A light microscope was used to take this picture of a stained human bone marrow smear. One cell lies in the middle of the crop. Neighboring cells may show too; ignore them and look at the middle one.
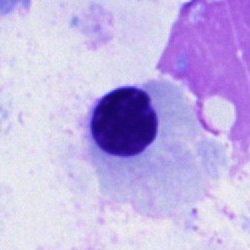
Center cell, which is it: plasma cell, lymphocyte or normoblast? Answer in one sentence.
The cell featured at the centre of this crop is a normoblast.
